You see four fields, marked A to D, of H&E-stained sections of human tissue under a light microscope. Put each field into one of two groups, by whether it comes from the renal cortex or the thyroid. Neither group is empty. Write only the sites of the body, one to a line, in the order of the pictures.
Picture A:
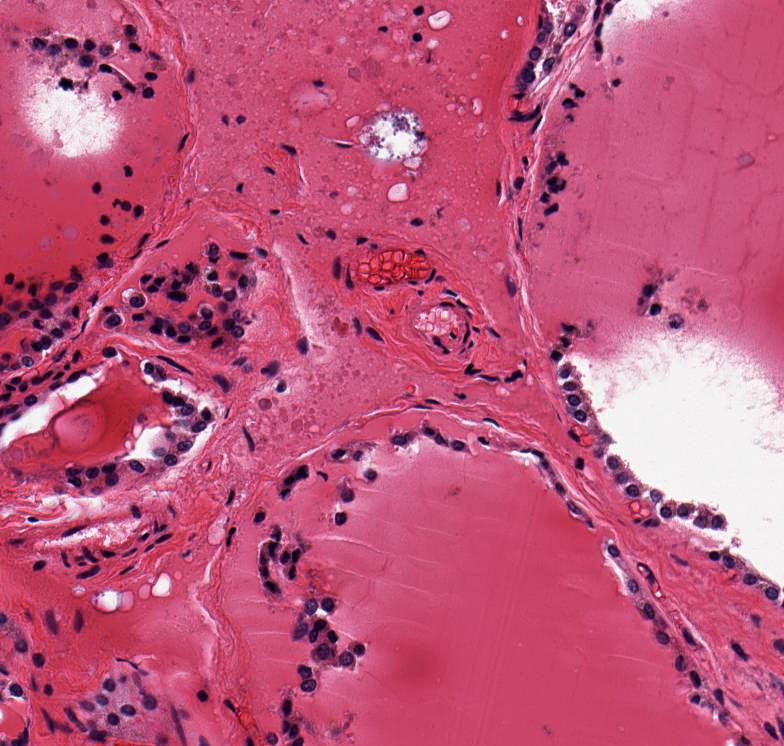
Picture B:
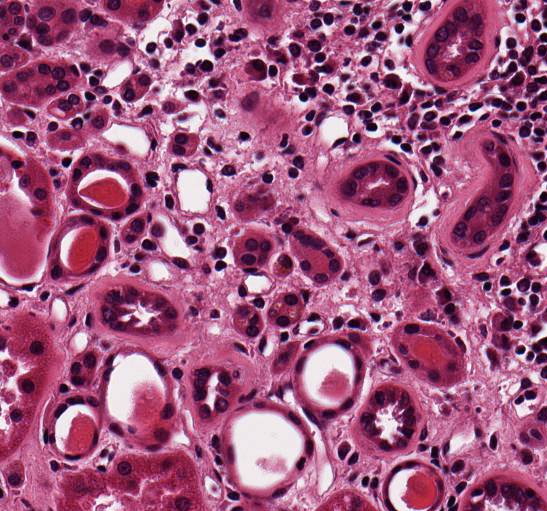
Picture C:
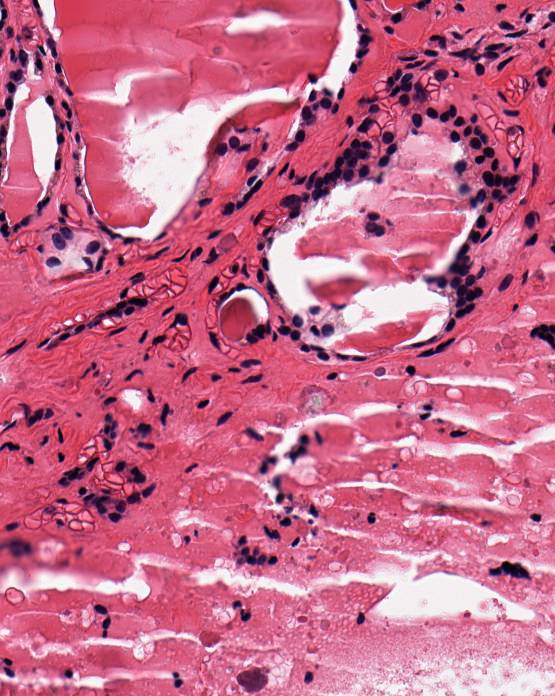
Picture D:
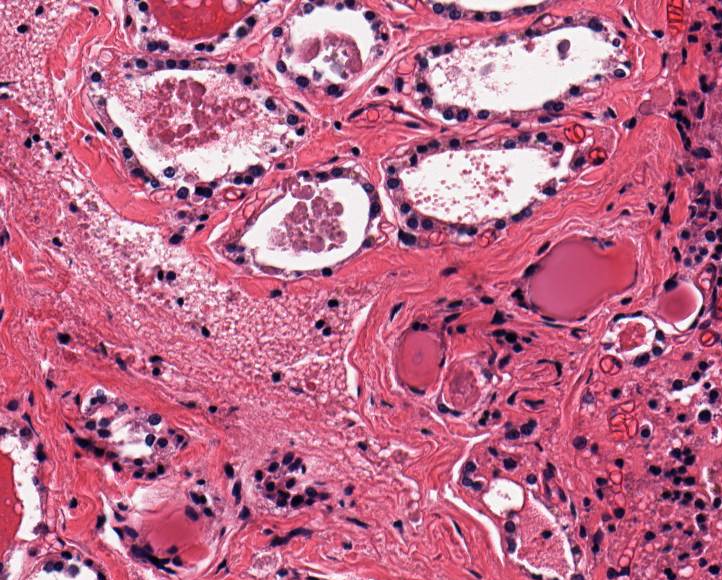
thyroid
renal cortex
thyroid
thyroid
